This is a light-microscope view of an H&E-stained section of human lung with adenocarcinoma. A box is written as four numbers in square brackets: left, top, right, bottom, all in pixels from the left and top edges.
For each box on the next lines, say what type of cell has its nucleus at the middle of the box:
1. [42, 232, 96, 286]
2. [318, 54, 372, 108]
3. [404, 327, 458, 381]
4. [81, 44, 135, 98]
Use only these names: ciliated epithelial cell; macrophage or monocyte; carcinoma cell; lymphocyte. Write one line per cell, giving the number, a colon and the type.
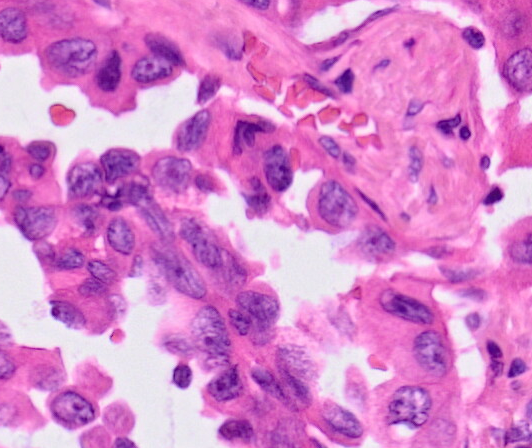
1: carcinoma cell
2: lymphocyte
3: carcinoma cell
4: carcinoma cell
